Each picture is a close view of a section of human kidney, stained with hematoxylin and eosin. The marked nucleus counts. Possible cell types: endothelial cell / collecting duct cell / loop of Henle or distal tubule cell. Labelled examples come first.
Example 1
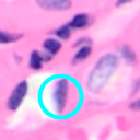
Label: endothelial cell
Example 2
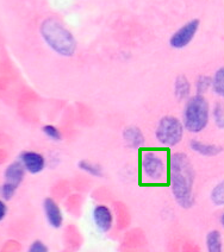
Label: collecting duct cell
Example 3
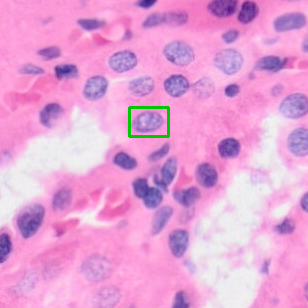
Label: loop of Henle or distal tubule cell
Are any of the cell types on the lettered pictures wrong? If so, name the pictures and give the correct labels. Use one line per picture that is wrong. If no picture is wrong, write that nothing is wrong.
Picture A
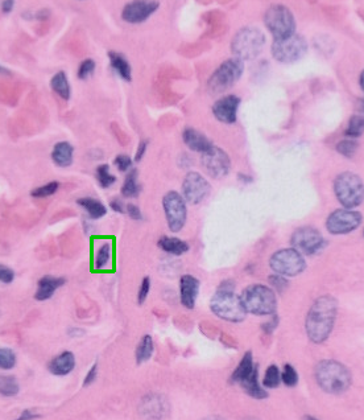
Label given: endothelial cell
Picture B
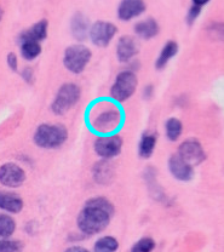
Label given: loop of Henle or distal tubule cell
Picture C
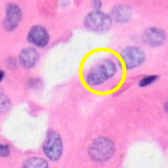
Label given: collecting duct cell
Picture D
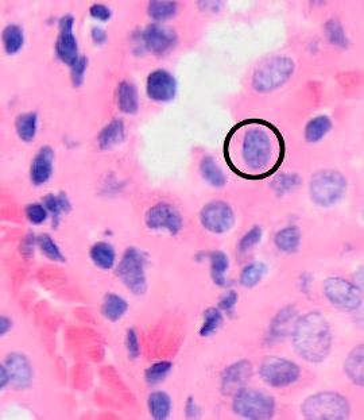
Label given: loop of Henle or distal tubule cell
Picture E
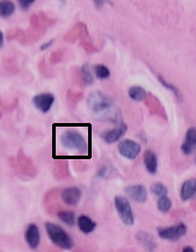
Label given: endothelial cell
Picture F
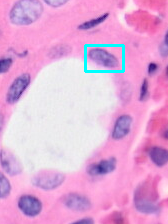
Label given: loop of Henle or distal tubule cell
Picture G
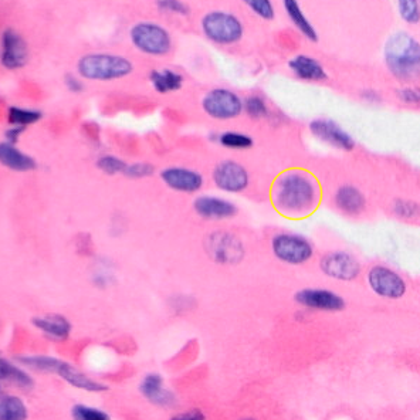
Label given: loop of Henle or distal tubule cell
B: change loop of Henle or distal tubule cell to collecting duct cell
